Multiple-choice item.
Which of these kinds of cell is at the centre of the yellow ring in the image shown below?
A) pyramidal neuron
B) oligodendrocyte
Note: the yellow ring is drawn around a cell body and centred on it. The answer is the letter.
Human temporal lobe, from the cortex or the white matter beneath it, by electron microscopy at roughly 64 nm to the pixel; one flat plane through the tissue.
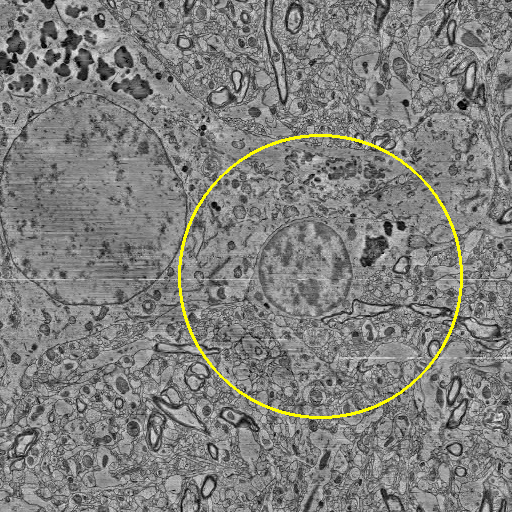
B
